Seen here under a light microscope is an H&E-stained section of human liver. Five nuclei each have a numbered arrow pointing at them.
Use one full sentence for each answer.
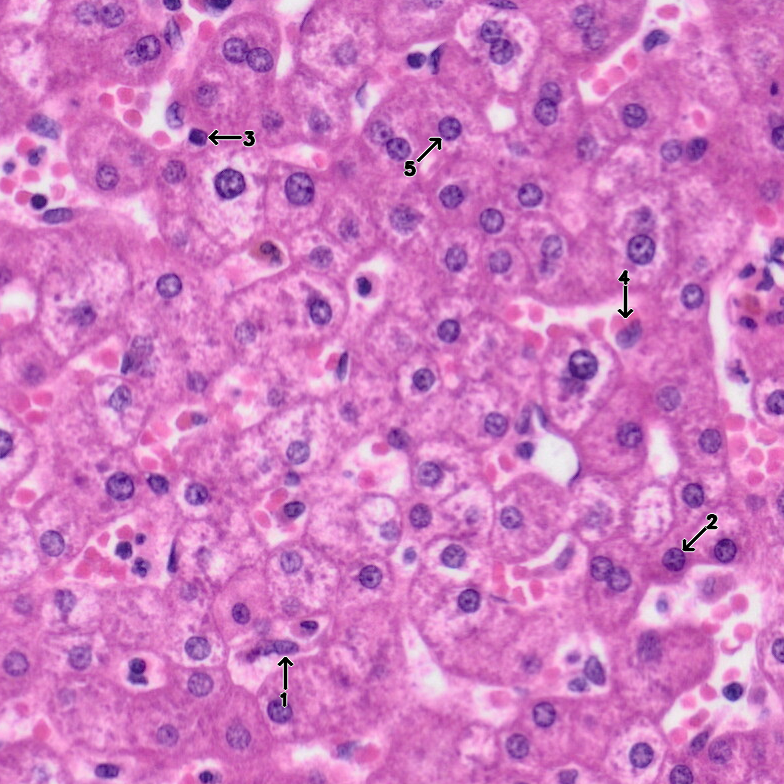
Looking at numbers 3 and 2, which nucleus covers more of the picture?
At about 1.5 times the area of nucleus 3, nucleus 2 is the larger of the two.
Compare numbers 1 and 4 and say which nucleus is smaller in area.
With nucleus 4 about 1.5 times its size, nucleus 1 is the smaller of the two.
